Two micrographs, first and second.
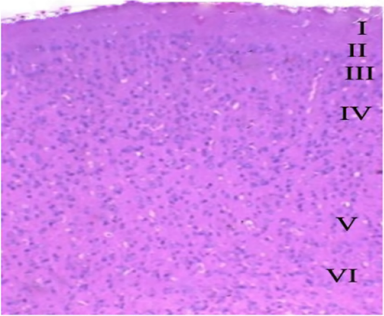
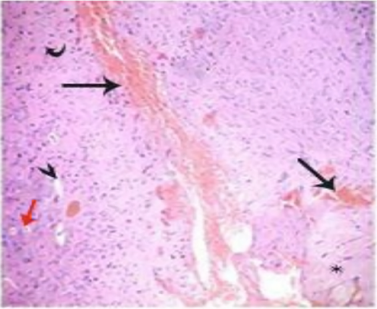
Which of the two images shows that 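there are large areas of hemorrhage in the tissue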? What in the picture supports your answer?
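Second image: broad red streaks and patches of blood lie across the tissue. First image: evenly stained cortex with no red blood patches. So: the second image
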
